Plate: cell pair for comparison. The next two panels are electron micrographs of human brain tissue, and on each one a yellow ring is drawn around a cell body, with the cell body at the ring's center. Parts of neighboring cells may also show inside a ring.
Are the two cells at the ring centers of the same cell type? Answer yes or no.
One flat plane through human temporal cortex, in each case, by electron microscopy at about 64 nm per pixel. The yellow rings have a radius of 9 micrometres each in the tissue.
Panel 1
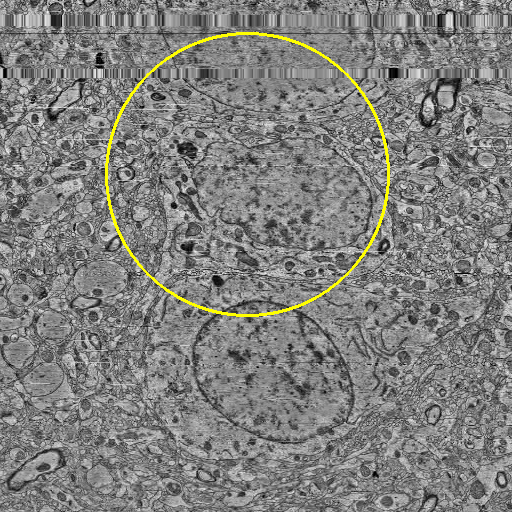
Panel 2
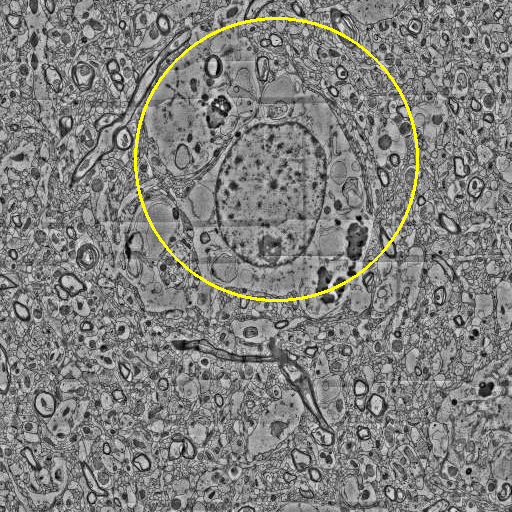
no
